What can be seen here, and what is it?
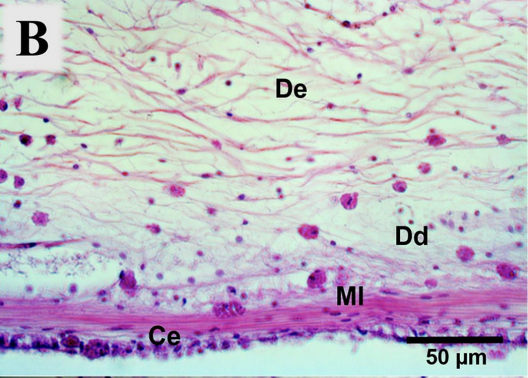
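This deeper part of the body wall shows dermis above, a dense dermis, a muscle layer and the coelomic epithelium at the bottom. The dermis is a loose network of thin pink wavy fibres with scattered small cells and some larger rounded cells. Lower down a compact band of parallel pink muscle fibres runs horizontally, and beneath it a thin row of dark-nucleated cells lines the inner surface.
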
